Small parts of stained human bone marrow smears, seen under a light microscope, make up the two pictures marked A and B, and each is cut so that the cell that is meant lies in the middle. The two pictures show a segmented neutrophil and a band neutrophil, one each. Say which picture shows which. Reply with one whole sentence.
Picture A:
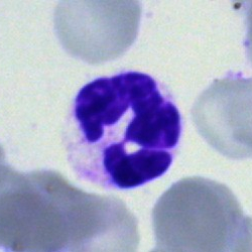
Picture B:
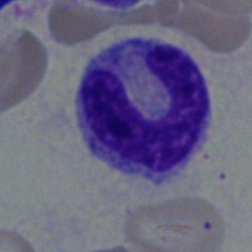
Picture A shows a segmented neutrophil and picture B shows a band neutrophil.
